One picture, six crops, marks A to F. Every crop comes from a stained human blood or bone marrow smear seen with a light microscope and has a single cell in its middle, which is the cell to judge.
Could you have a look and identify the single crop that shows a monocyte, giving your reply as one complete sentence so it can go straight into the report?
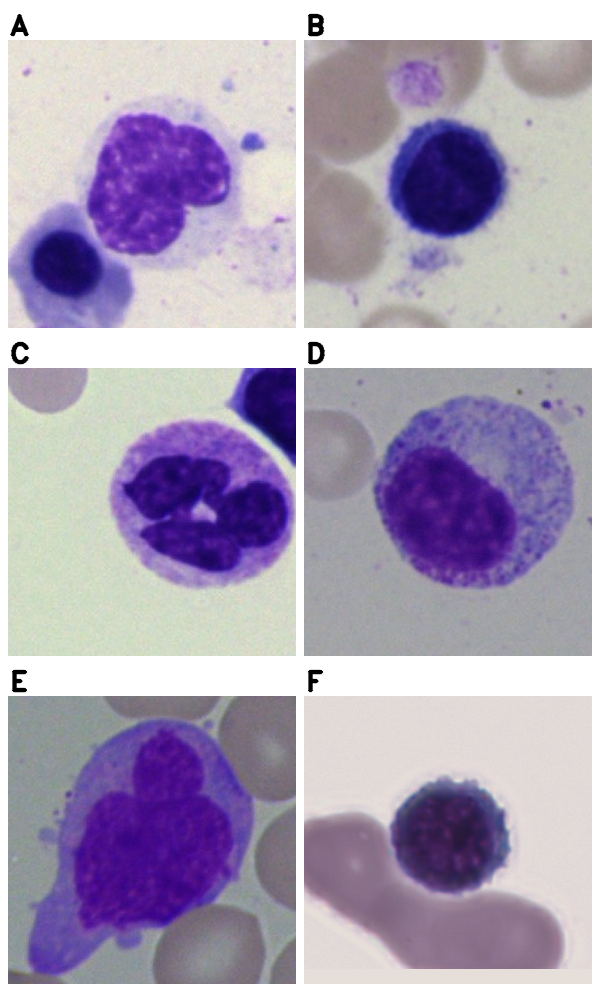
Crop E, and no other, shows a monocyte.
